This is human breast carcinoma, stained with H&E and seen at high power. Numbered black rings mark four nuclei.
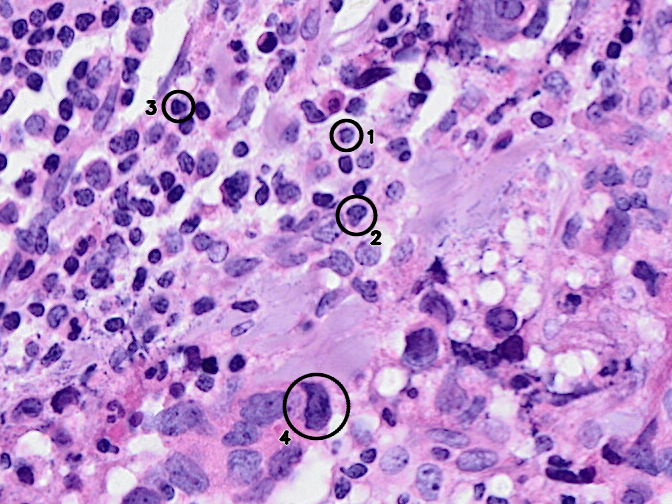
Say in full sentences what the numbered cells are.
Cell 1 is a lymphocyte, cell 2 is a lymphocyte, cell 3 is a lymphocyte and cell 4 is a carcinoma cell.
